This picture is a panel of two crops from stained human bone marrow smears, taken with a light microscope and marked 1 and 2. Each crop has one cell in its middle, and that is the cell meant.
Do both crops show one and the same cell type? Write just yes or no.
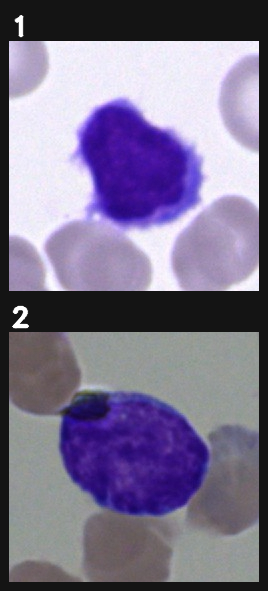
no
